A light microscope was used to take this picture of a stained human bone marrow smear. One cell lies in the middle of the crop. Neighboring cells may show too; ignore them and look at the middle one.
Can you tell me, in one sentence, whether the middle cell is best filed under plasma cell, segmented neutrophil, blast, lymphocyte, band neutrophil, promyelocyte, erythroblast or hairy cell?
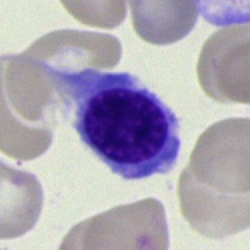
The cell at the heart of this crop is an erythroblast.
